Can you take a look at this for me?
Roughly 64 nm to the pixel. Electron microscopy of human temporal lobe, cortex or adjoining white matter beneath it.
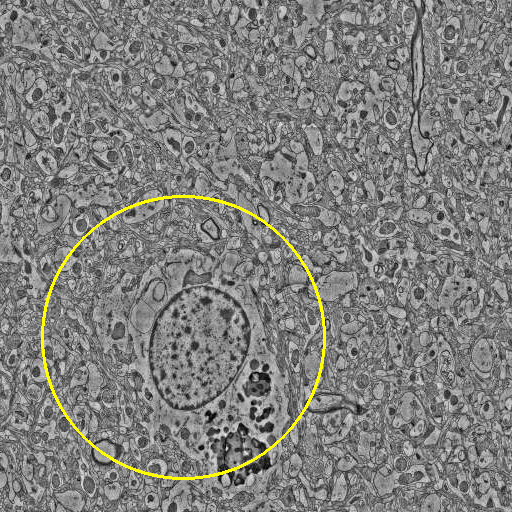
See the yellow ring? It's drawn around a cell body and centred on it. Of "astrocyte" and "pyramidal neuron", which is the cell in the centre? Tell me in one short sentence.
The one in the centre is an astrocyte.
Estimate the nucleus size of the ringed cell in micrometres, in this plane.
The nucleus measures about 8 by 6 micrometres in this plane.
